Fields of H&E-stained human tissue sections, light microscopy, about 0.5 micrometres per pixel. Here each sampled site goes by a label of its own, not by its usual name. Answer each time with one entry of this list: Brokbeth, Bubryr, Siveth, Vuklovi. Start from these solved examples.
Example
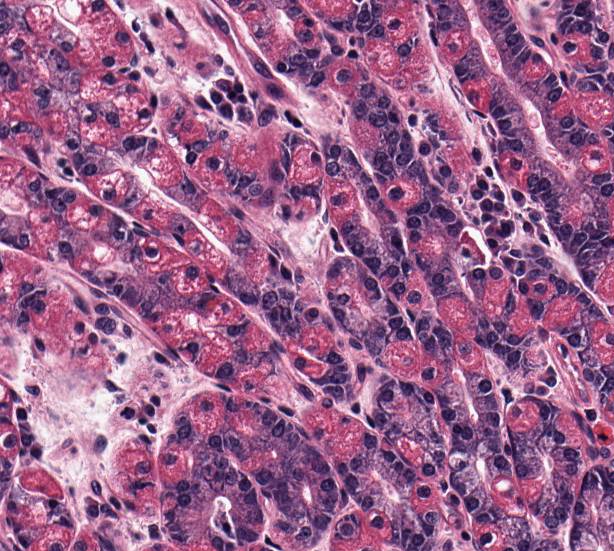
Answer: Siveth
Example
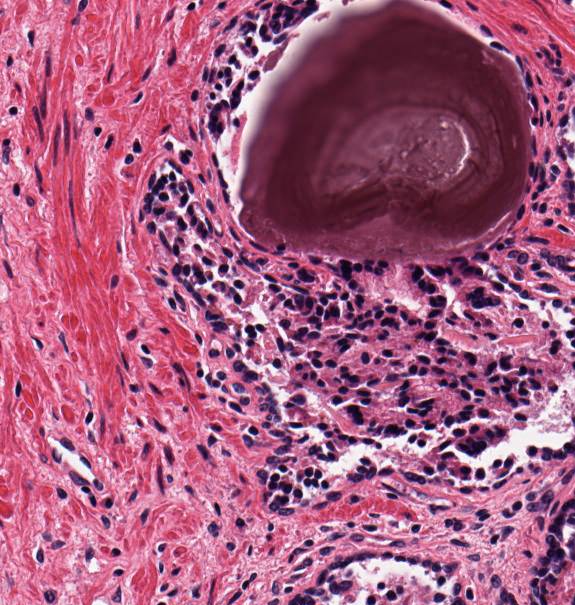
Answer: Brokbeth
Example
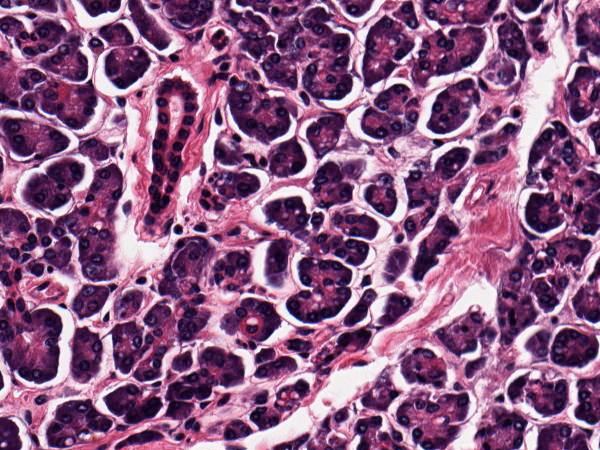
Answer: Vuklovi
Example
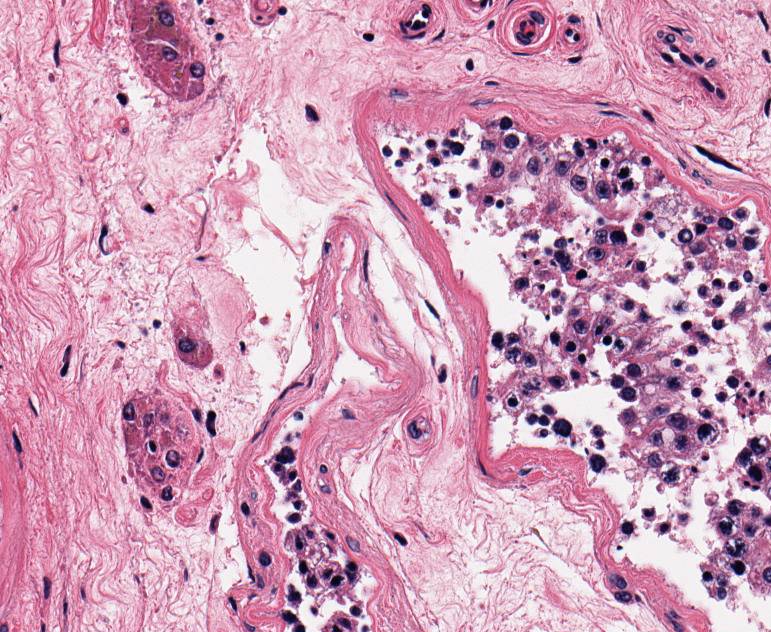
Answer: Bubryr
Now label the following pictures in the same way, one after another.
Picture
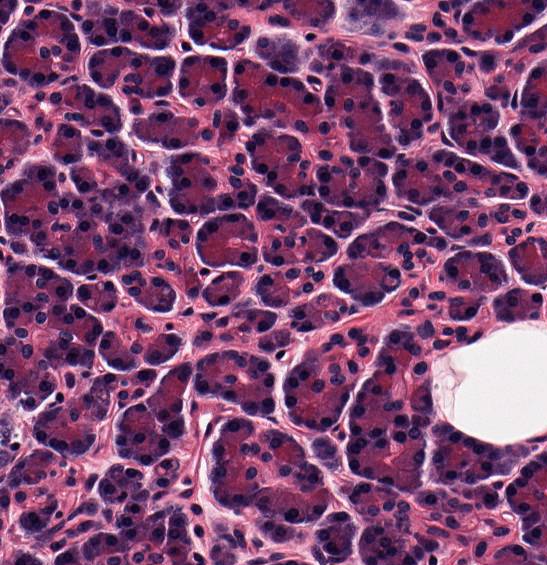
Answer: Vuklovi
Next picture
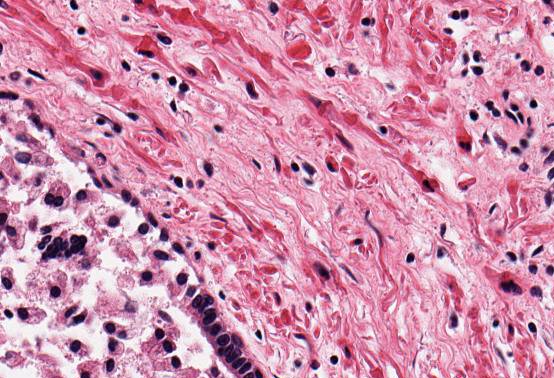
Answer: Brokbeth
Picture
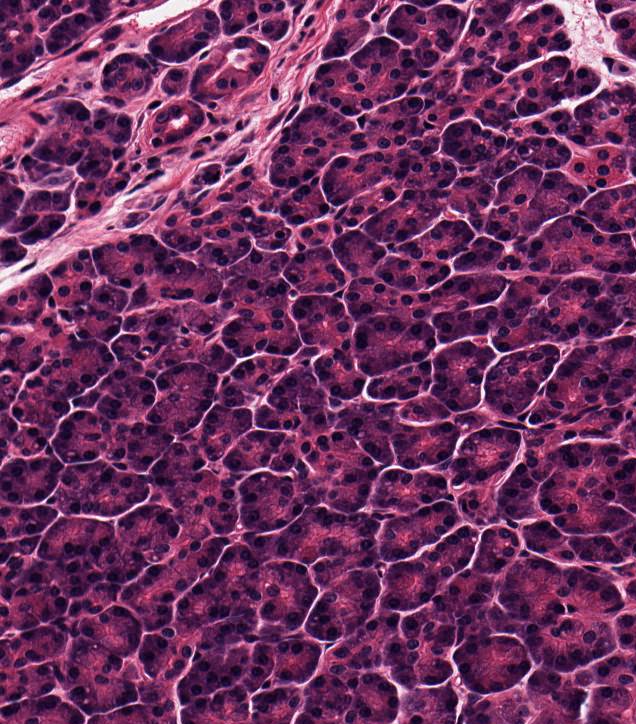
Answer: Vuklovi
